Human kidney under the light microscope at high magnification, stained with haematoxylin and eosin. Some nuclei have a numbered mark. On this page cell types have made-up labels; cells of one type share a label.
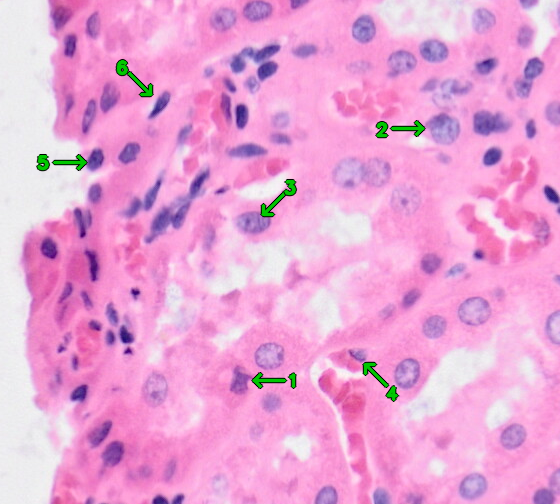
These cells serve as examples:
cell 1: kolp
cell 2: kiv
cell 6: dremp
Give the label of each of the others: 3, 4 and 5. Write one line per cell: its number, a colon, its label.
3: kolp
4: dremp
5: kiv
